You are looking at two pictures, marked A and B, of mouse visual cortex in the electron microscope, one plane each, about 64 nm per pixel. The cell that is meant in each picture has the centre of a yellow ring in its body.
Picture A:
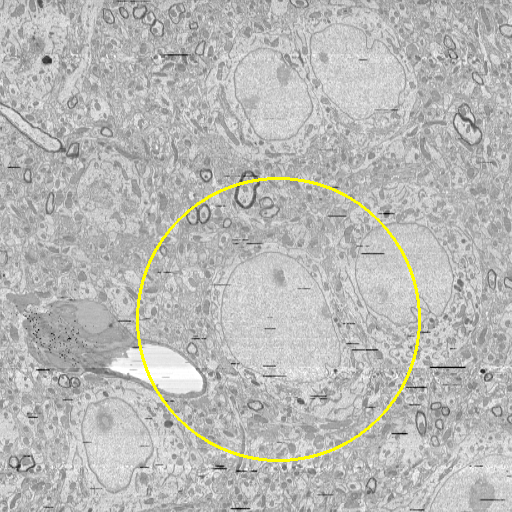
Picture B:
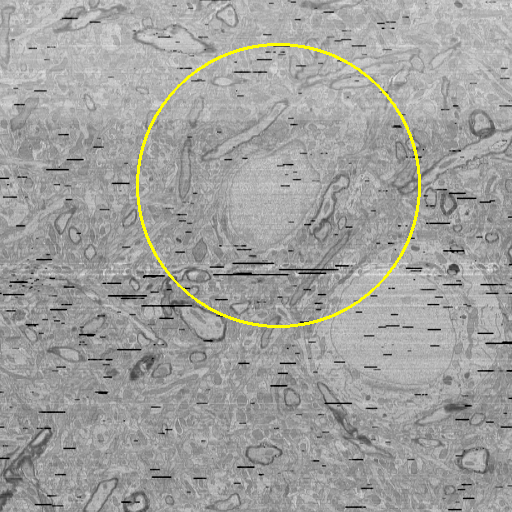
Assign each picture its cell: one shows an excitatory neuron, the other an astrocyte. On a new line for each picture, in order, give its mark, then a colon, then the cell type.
A: excitatory neuron
B: astrocyte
